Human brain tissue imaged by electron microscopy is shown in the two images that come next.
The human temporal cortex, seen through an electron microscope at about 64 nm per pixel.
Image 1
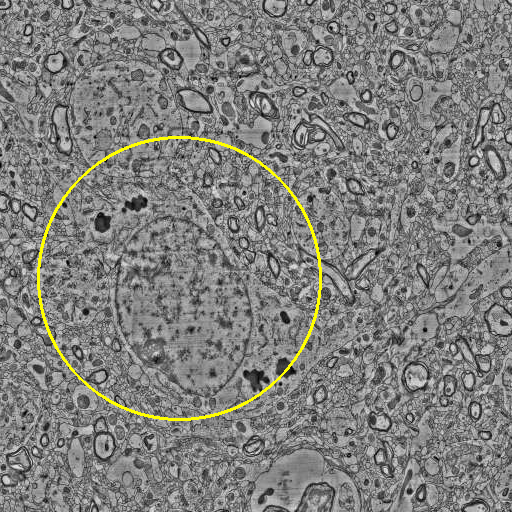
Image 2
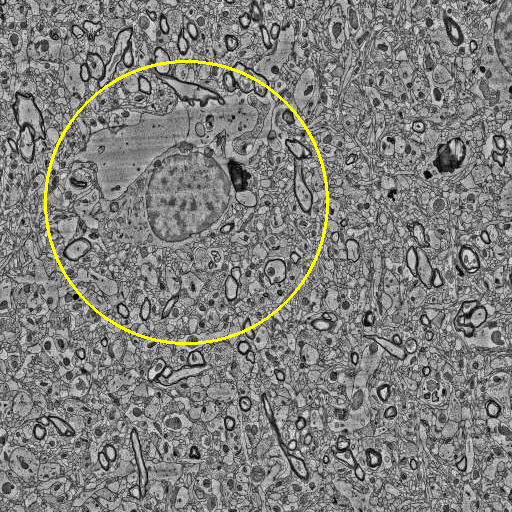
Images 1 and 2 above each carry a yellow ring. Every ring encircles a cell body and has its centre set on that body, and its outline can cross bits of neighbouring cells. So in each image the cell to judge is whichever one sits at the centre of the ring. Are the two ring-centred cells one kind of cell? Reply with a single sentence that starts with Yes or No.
No, in Image 1 and Image 2 the cells at the centres of their rings fall into two types.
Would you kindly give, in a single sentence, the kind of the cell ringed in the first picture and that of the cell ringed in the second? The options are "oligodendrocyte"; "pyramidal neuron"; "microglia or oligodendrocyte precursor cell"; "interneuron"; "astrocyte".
The second cell is an oligodendrocyte, and the first cell is an interneuron.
